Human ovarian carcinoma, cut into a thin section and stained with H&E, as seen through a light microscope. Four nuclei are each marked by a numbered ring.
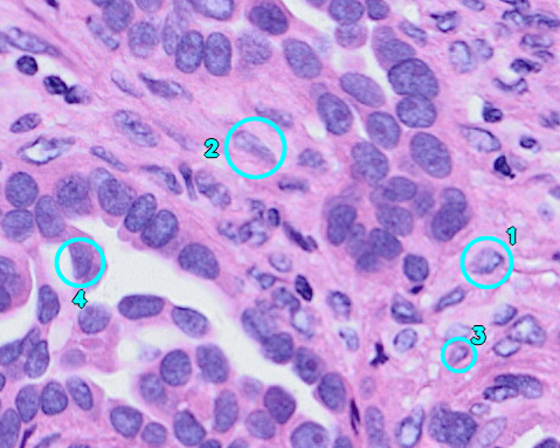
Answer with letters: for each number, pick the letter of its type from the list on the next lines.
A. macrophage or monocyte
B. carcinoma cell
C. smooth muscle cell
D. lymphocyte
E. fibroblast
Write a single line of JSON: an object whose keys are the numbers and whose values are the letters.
{"1": "E", "2": "E", "3": "E", "4": "B"}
